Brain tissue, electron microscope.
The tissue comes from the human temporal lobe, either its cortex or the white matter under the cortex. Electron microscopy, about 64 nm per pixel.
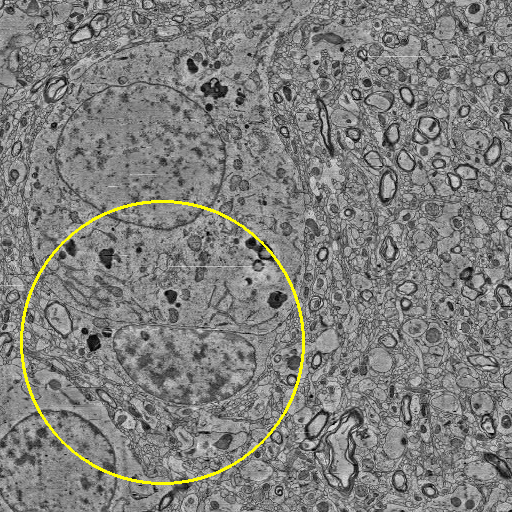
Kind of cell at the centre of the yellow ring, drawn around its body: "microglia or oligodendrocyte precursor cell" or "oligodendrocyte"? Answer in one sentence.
The ring's centre falls on an oligodendrocyte.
